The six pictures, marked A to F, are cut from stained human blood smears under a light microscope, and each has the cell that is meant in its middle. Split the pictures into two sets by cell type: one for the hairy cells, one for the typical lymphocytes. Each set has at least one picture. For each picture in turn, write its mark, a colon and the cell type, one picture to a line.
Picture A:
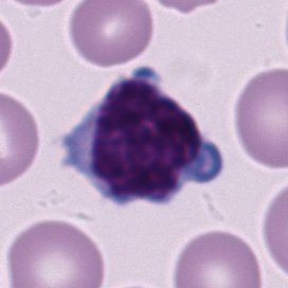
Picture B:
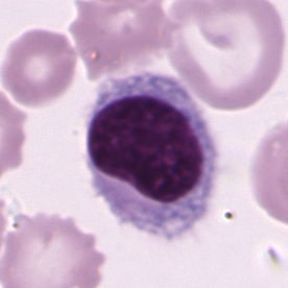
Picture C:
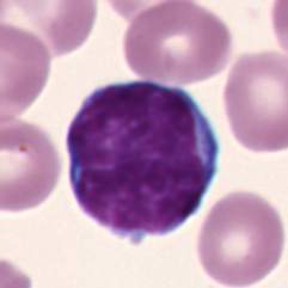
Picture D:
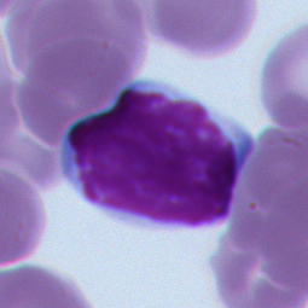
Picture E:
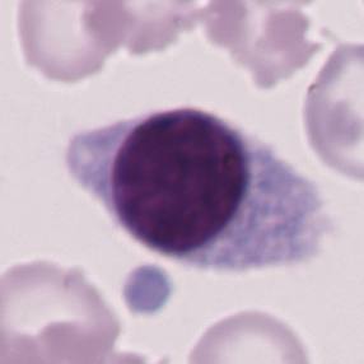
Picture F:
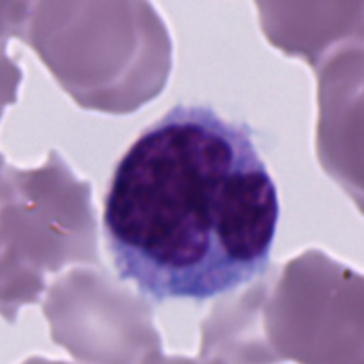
A: typical lymphocyte
B: hairy cell
C: typical lymphocyte
D: typical lymphocyte
E: hairy cell
F: hairy cell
